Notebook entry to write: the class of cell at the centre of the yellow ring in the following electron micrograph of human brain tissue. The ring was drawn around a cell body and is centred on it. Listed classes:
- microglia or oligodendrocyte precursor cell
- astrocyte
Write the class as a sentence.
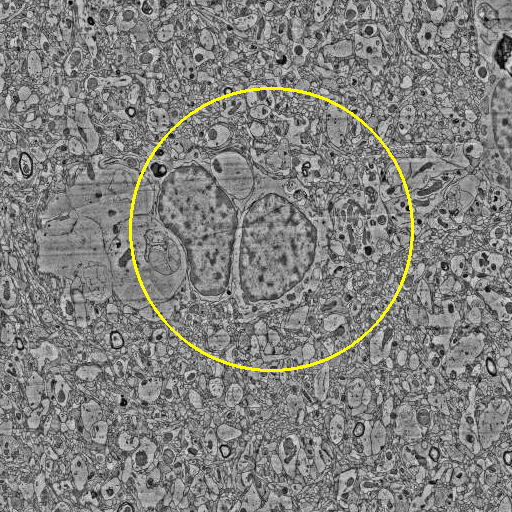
The yellow ring sits on a microglial cell or oligodendrocyte precursor cell.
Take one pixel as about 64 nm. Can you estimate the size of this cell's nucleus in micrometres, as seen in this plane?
In this plane, the nucleus of the cell at the centre of the ring measures about 7 by 5 micrometres.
